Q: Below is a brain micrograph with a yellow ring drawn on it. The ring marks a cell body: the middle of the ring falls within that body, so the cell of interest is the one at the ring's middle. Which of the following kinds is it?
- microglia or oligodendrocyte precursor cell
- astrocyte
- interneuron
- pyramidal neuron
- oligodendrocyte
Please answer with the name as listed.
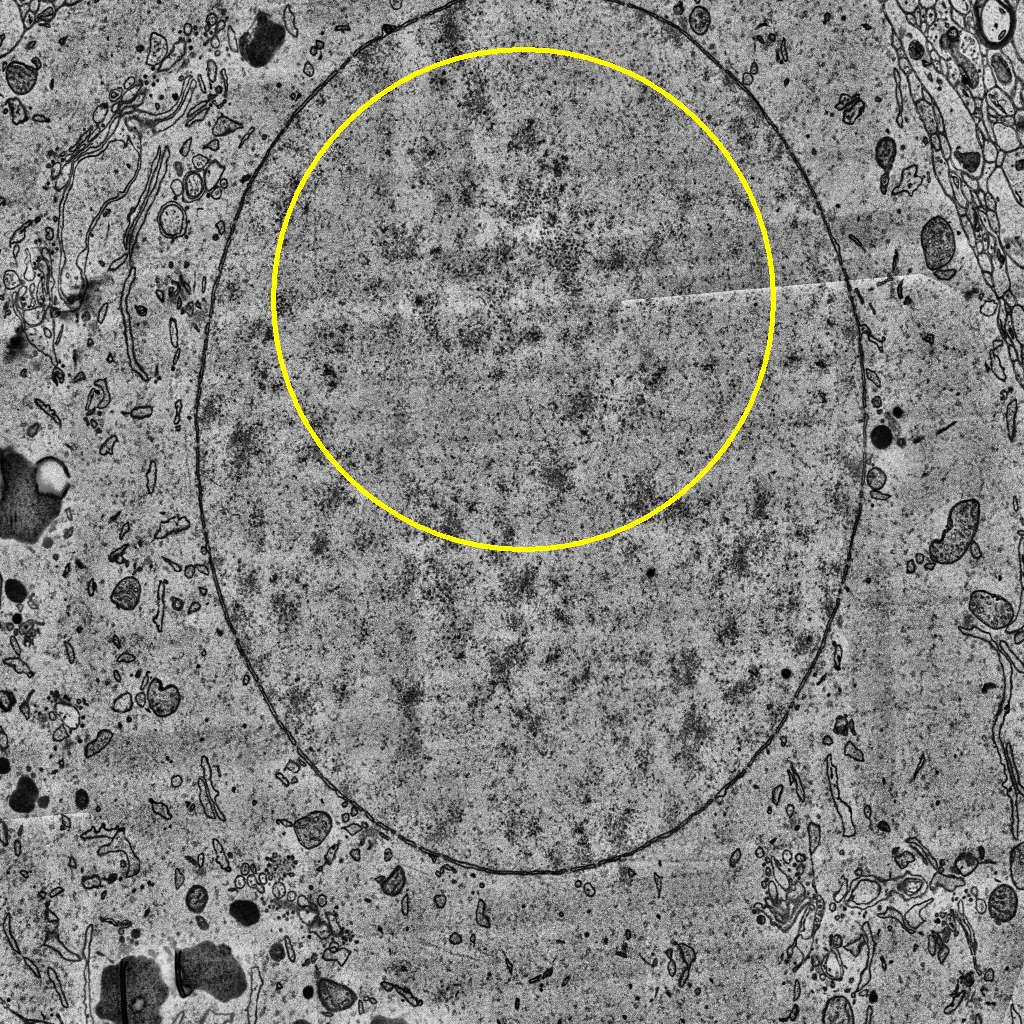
pyramidal neuron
